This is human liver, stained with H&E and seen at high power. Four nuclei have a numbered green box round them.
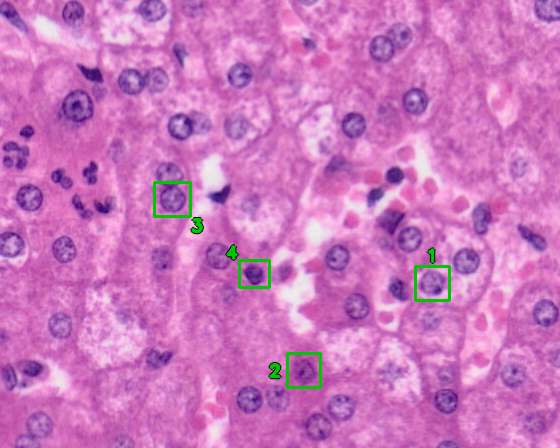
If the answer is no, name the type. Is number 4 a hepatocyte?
No, it is a fibroblast or stellate cell.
